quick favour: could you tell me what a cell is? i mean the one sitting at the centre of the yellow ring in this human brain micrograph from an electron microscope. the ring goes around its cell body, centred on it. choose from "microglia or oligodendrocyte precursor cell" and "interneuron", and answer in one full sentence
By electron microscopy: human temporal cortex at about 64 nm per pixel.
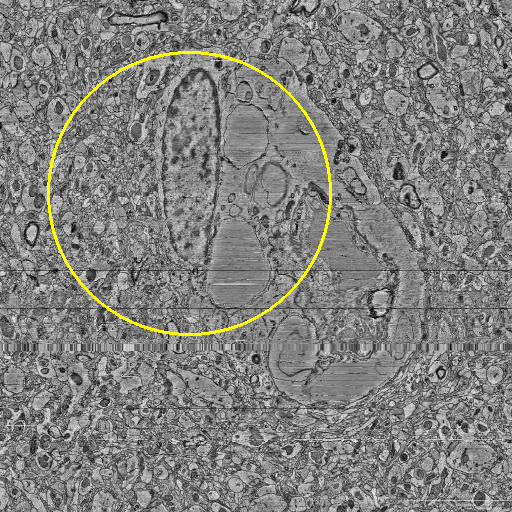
That's a microglial cell or oligodendrocyte precursor cell, the cell sitting at the centre of the yellow ring.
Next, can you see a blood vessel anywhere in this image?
Yes, a blood vessel can be seen.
